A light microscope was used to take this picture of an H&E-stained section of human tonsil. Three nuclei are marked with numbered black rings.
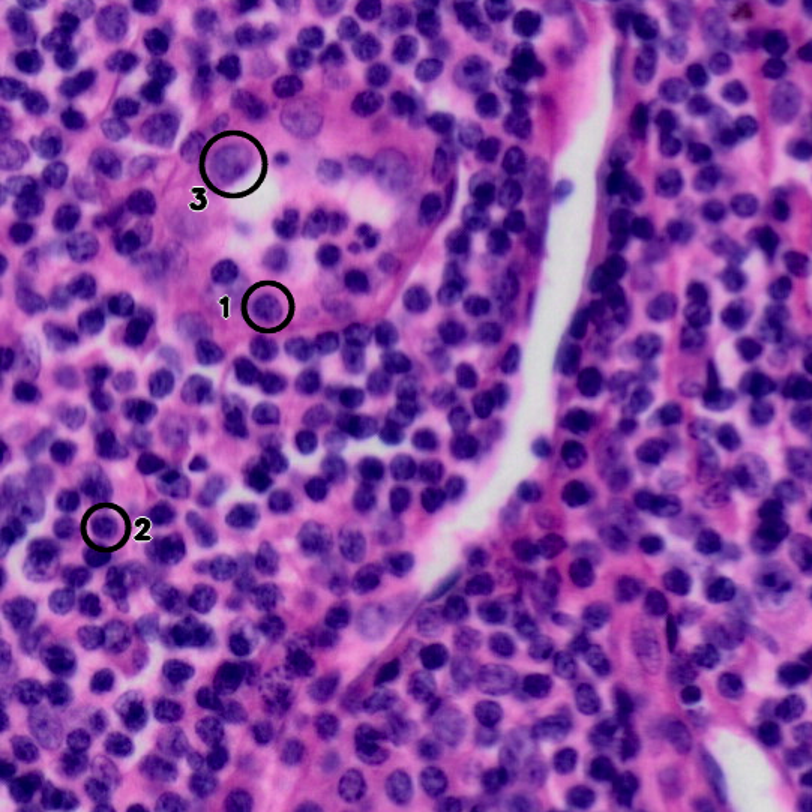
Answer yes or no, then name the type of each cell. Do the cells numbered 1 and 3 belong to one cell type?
Yes, each of the two cells, 1 and 3, is among the endothelial cells.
